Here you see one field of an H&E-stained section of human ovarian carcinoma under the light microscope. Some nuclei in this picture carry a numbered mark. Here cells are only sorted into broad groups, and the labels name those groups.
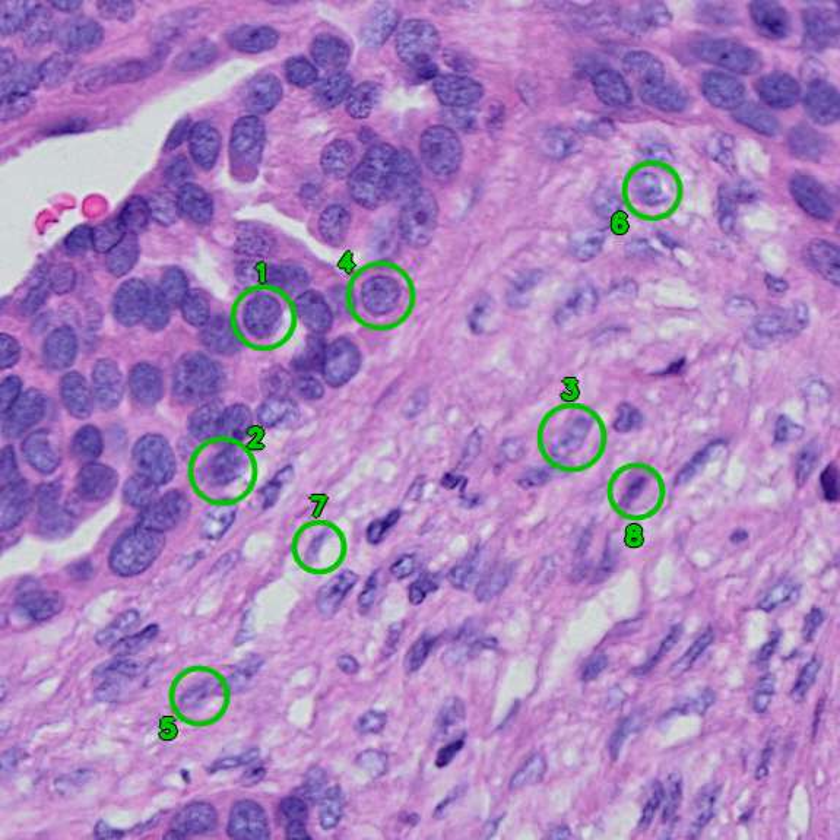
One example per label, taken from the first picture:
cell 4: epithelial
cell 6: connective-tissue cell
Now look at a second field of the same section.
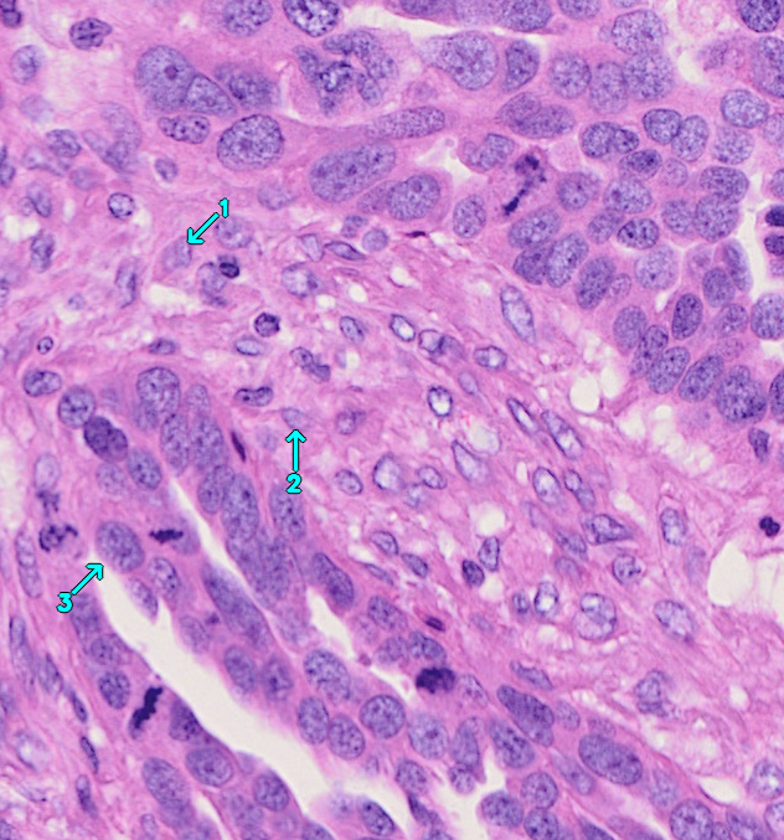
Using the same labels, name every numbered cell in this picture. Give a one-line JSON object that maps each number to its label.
{"1": "connective-tissue cell", "2": "connective-tissue cell", "3": "epithelial"}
